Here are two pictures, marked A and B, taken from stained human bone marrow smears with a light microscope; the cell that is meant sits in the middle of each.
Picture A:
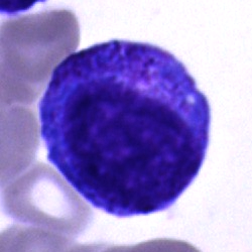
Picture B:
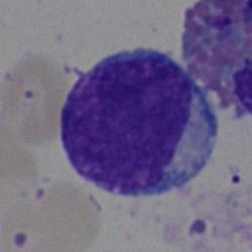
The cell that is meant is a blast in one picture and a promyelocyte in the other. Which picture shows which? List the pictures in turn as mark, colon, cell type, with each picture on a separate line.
A: promyelocyte
B: blast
